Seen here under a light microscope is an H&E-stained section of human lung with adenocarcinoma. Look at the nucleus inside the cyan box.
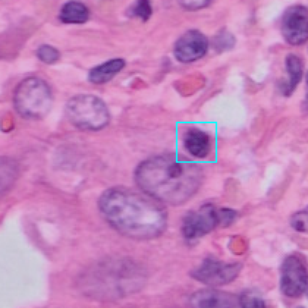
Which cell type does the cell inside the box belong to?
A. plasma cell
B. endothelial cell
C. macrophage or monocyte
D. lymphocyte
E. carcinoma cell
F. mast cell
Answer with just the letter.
D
